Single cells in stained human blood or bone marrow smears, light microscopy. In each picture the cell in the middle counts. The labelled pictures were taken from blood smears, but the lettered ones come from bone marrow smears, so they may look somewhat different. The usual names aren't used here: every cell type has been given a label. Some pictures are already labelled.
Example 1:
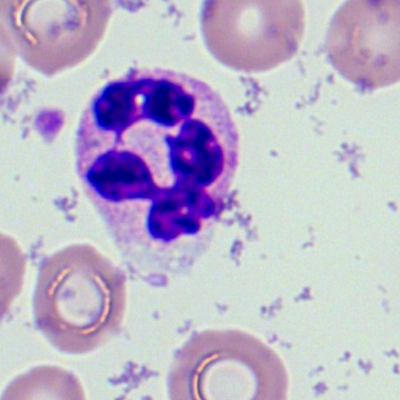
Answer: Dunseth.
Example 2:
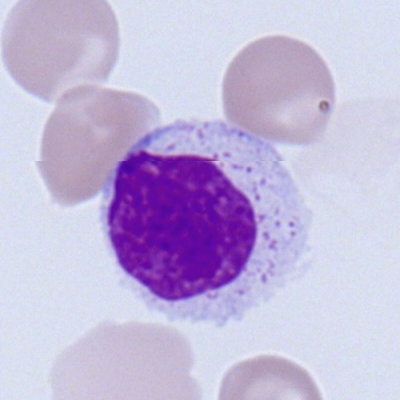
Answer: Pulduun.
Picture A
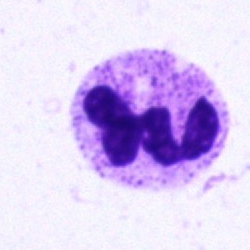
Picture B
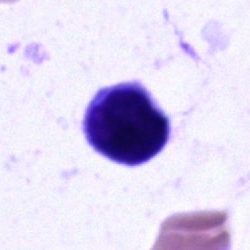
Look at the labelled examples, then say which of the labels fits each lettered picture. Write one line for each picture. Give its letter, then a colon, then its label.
A: Dunseth.
B: Pulduun.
